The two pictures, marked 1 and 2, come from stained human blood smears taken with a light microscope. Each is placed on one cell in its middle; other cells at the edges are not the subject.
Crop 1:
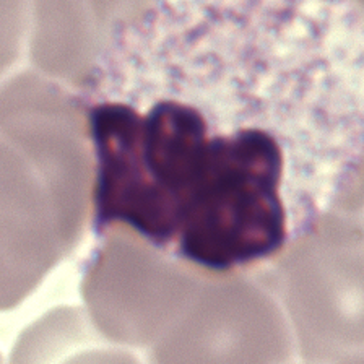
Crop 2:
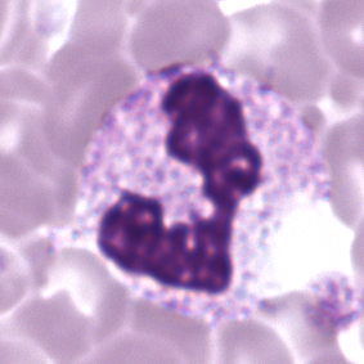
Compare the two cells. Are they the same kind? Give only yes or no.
yes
